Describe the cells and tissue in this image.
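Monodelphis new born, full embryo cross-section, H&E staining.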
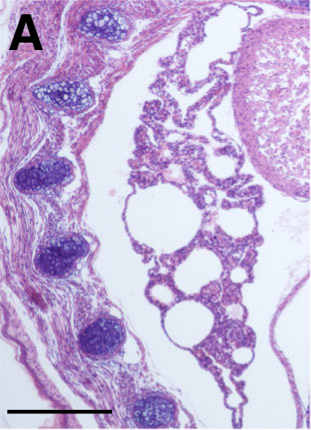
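The lung is made of rounded, open airspaces of varying size, separated by fairly thick, cell-rich pink-purple walls; many nuclei crowd these walls and parts of the tissue remain compact. To the left, a row of oval, deep blue-purple cartilaginous structures lies embedded in pink connective tissue and muscle of the body wall. At the upper right, a dense, finely textured organ abuts the lung. The airspaces are empty and white, and the overall lung appears immature, with little thin-walled gas-exchange tissue.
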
